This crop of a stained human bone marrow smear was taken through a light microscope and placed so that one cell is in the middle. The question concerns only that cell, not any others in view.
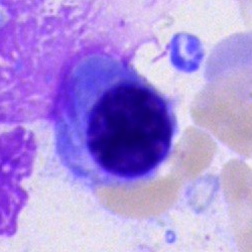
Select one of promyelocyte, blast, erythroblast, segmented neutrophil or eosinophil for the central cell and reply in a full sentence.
At the center of the crop sits an erythroblast.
